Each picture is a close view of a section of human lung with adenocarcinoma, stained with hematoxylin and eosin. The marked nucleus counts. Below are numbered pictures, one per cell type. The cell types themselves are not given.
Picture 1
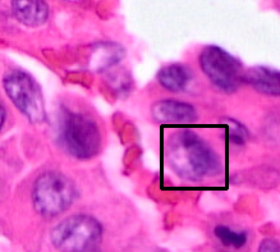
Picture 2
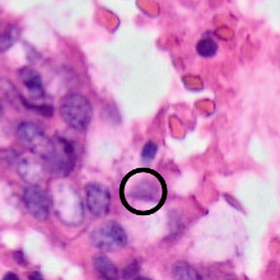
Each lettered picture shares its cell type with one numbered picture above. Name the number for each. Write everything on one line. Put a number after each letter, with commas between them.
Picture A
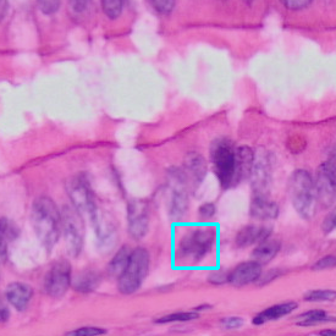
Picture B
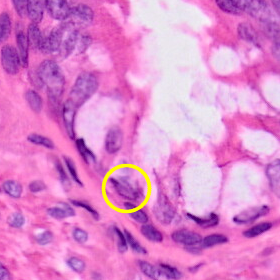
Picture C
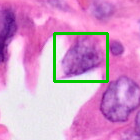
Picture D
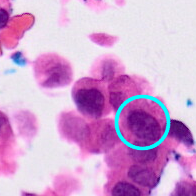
A 2, B 2, C 1, D 1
